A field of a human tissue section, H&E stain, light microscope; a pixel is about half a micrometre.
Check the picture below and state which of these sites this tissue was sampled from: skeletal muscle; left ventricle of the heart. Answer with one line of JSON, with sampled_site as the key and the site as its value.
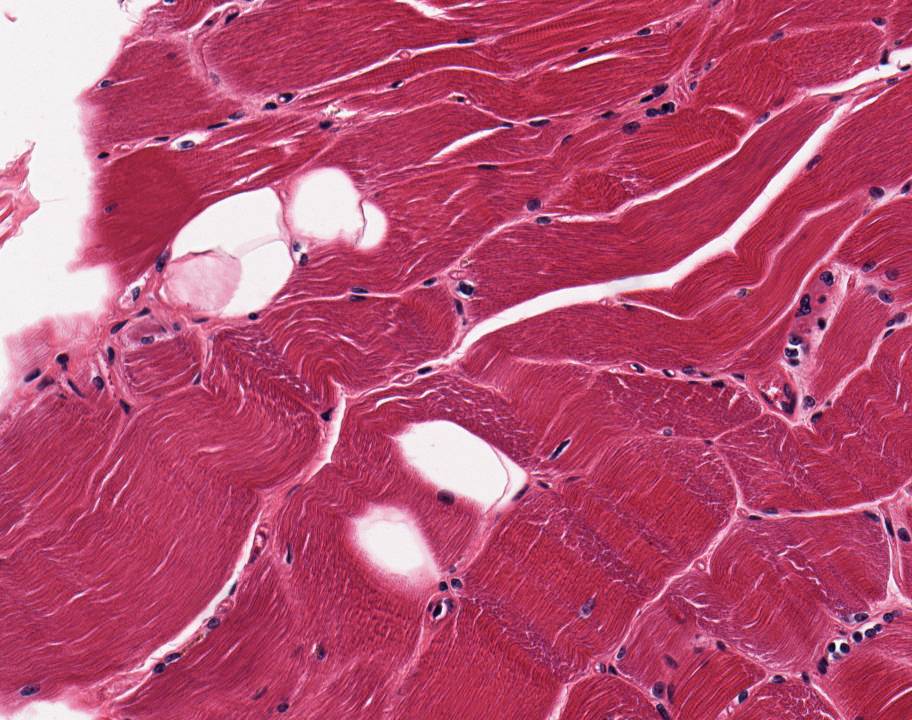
{"sampled_site": "skeletal muscle"}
